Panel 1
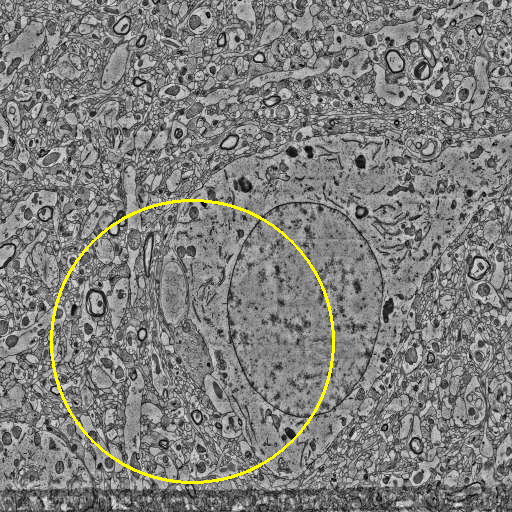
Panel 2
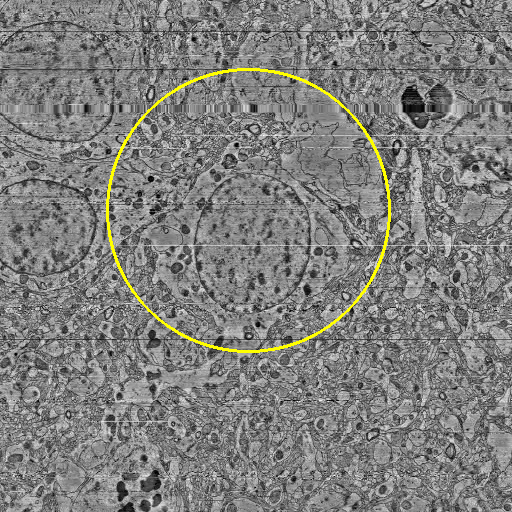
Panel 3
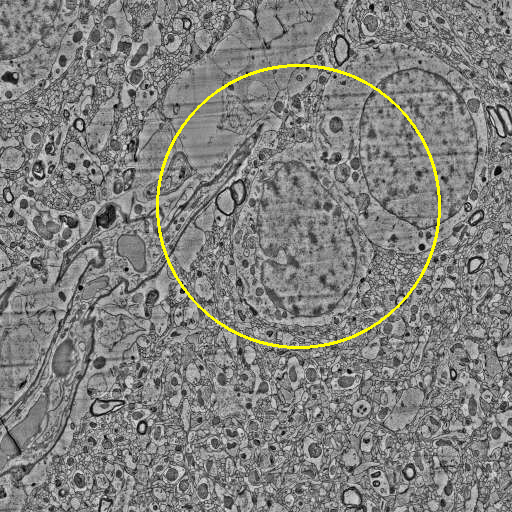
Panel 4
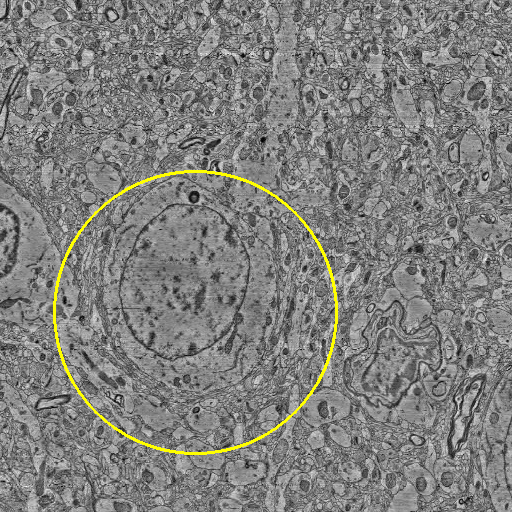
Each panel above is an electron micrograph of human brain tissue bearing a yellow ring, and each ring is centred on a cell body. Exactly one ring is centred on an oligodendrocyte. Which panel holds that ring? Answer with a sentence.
That ring is in Panel 1.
